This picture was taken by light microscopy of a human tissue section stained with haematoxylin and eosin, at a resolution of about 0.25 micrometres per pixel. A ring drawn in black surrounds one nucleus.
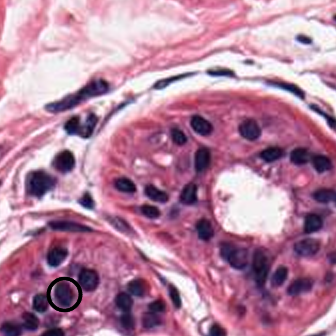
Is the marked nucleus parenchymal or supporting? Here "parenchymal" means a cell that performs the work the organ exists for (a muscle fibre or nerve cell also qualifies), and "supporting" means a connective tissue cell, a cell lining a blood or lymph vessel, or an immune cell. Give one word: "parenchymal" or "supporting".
parenchymal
